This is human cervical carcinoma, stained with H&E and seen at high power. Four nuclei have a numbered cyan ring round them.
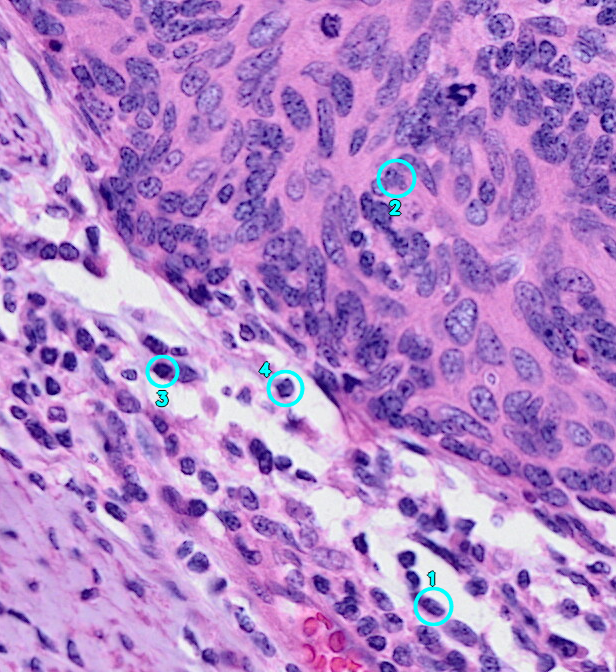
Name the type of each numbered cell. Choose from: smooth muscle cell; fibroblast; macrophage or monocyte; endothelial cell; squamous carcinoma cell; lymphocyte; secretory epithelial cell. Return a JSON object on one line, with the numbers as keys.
{"1": "lymphocyte", "2": "squamous carcinoma cell", "3": "lymphocyte", "4": "lymphocyte"}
